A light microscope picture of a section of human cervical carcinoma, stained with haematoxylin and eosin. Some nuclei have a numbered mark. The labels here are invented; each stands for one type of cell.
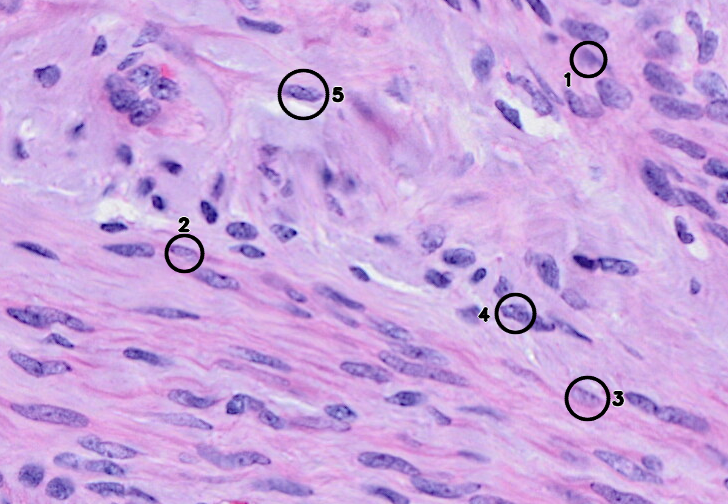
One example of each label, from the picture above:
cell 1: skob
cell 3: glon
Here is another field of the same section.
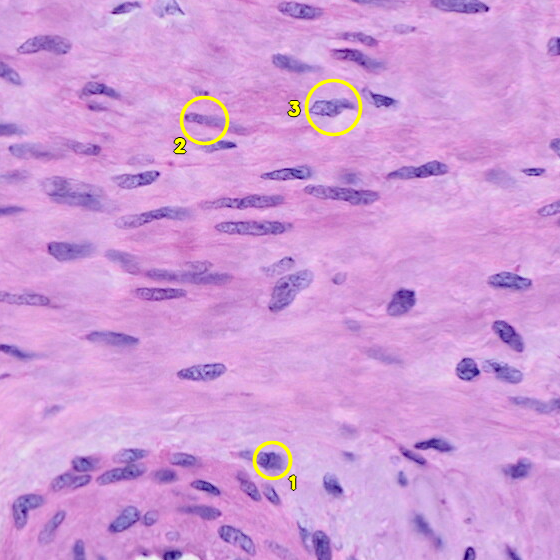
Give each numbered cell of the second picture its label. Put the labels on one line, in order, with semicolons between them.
skob; glon; skob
